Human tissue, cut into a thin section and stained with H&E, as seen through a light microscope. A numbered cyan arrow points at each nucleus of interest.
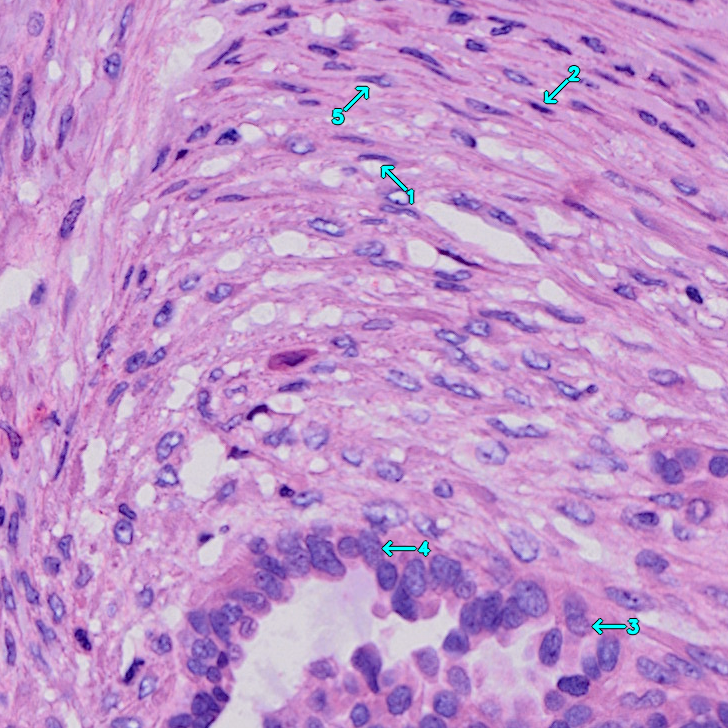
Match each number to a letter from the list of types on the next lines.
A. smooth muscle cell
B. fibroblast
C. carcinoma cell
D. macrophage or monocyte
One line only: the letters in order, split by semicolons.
B; B; C; C; B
